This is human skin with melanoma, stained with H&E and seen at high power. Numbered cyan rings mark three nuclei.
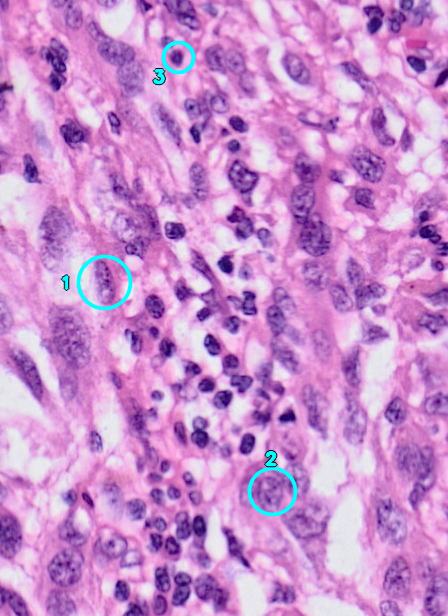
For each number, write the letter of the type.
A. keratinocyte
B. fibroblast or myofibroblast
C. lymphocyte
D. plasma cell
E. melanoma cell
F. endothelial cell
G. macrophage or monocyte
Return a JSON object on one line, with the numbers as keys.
{"1": "E", "2": "E", "3": "C"}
